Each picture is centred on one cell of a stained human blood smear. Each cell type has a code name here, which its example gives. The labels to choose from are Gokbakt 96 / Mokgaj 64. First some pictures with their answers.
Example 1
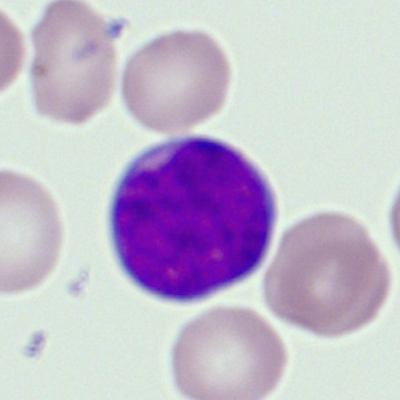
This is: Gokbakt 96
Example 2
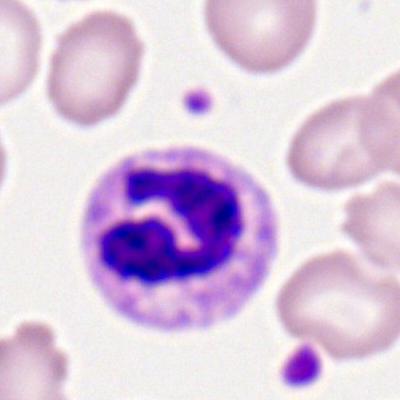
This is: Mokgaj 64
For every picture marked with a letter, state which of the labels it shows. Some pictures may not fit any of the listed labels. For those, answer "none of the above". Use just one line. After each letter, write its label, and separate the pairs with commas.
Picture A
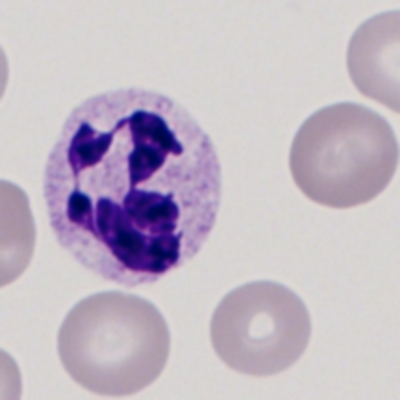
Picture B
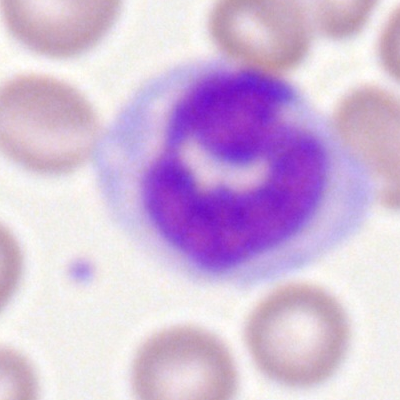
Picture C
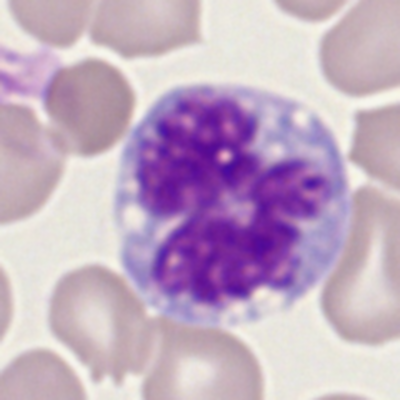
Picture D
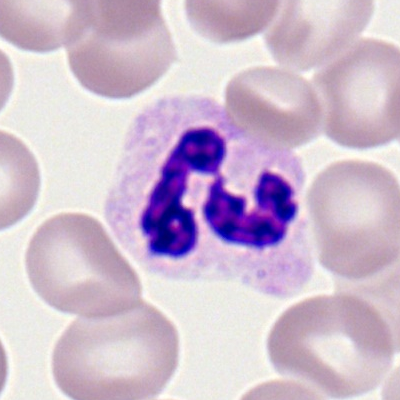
A Mokgaj 64, B none of the above, C none of the above, D Mokgaj 64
